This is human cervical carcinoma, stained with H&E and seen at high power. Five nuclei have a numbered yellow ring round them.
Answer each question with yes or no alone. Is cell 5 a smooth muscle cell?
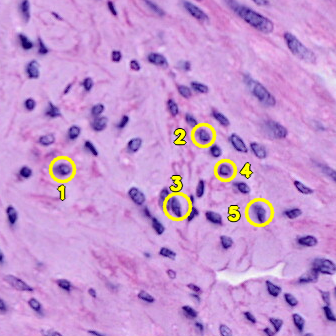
no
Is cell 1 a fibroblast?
no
